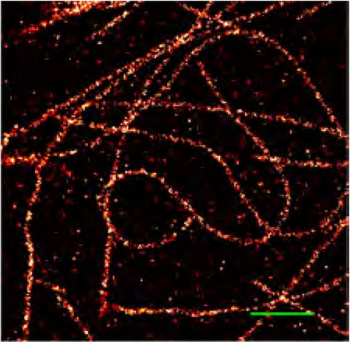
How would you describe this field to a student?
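The filaments run across the field, cross one another and bend into loops, and each is traced as a narrow, continuous line of dots. A few scattered single points lie between the filaments.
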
